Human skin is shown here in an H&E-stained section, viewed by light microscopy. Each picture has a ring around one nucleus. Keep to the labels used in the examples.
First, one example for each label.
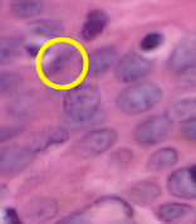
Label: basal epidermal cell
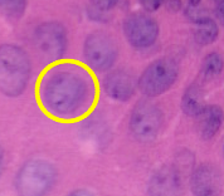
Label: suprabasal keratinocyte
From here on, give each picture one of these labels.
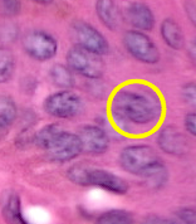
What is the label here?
suprabasal keratinocyte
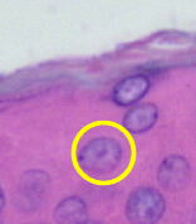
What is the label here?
suprabasal keratinocyte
